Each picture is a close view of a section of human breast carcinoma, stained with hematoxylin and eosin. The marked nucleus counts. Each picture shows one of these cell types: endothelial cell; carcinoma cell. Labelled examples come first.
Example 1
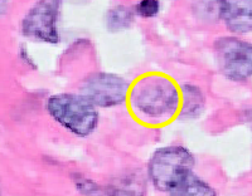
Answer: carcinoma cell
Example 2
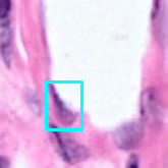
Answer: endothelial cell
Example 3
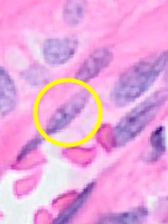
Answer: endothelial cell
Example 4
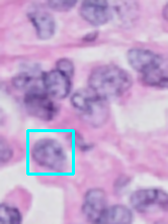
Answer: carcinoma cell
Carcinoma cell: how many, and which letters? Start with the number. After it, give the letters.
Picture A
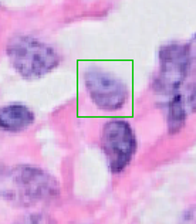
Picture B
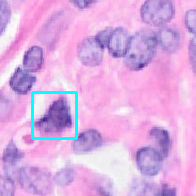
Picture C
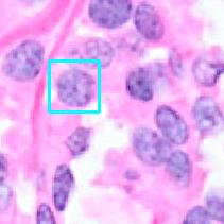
3, namely A, B, C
